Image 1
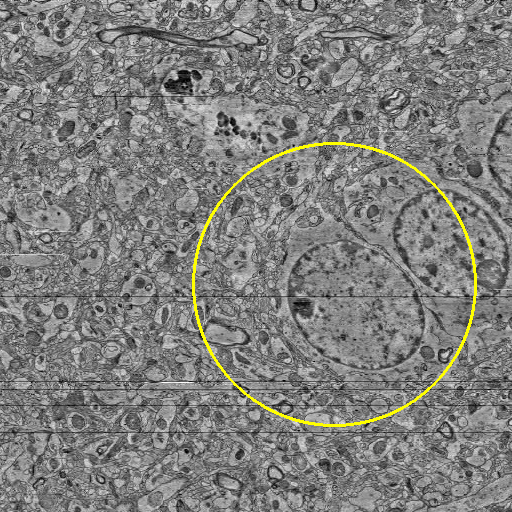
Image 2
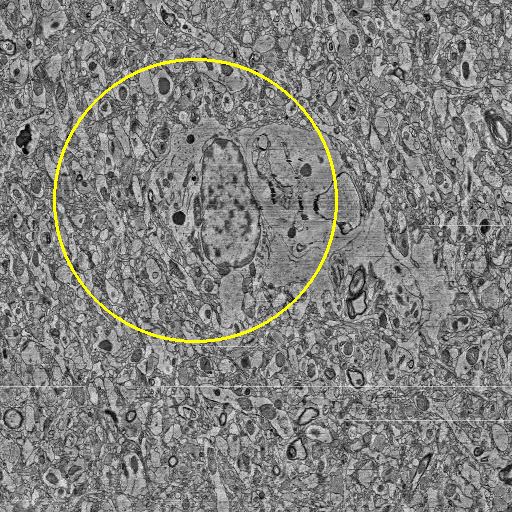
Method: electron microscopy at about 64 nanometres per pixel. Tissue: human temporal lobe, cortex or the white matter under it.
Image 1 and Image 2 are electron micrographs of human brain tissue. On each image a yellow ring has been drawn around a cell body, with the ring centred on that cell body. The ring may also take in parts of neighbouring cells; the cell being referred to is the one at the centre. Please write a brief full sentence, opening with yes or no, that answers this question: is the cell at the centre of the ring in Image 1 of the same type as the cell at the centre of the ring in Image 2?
No, the two cells are of two types.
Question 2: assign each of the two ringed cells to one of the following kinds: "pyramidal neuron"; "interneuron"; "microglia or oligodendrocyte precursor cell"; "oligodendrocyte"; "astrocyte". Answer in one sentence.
The two cells are an astrocyte in the first picture and a microglial cell or oligodendrocyte precursor cell in the second.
